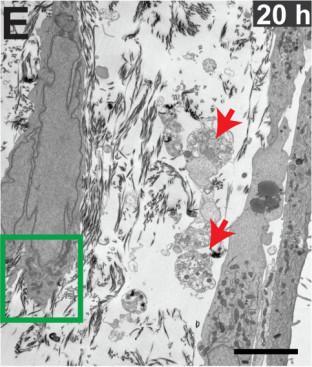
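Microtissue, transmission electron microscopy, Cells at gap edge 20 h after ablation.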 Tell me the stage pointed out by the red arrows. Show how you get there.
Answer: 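Non-viable cells. The marked bodies are small, rounded and pale. Their interior is fragmented into vesicles, unlike the intact elongated cells beside them.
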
